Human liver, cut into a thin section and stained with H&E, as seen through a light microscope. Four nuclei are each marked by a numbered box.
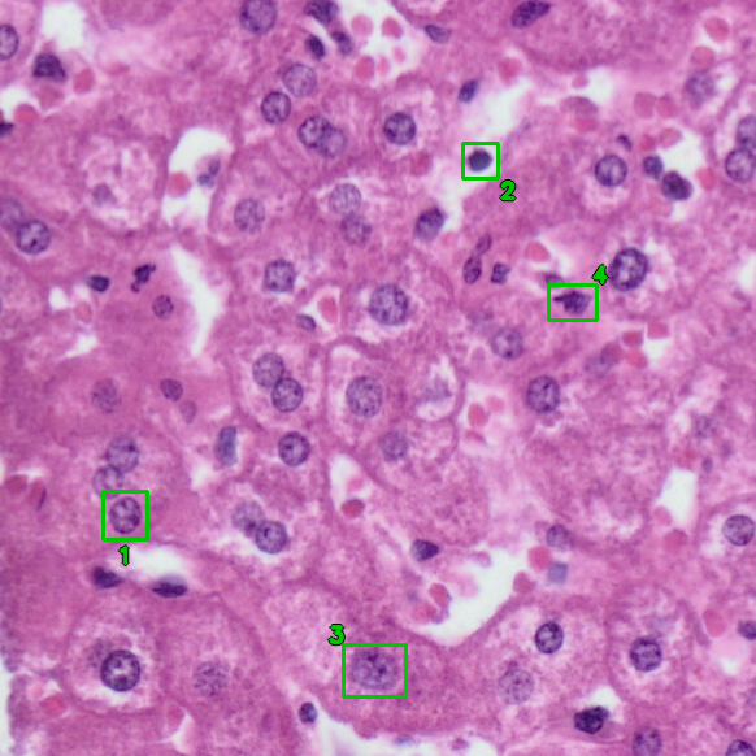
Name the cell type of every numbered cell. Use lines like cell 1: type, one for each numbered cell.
cell 1: hepatocyte
cell 2: lymphocyte
cell 3: hepatocyte
cell 4: fibroblast or stellate cell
